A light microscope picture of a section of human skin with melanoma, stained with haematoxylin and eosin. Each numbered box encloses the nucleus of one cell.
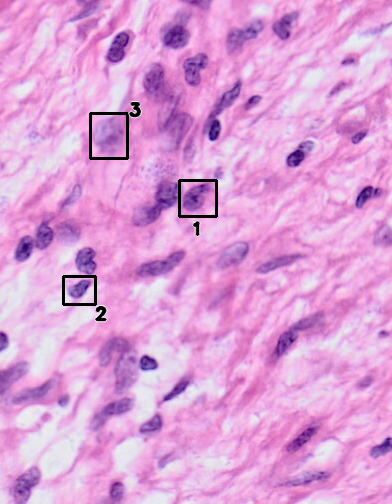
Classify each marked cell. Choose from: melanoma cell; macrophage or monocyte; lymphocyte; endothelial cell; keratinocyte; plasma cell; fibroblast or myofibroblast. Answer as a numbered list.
1. macrophage or monocyte
2. lymphocyte
3. fibroblast or myofibroblast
